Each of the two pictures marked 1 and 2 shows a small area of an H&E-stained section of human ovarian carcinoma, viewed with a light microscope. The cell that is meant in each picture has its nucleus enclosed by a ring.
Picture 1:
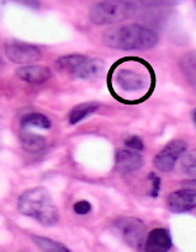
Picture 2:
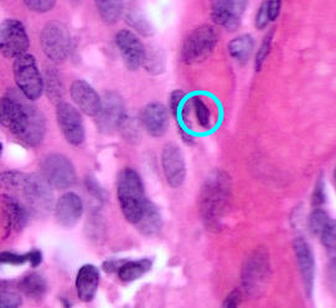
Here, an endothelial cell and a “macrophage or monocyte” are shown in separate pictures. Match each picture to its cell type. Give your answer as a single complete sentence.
Picture 1 shows a “macrophage or monocyte” and picture 2 shows an endothelial cell.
